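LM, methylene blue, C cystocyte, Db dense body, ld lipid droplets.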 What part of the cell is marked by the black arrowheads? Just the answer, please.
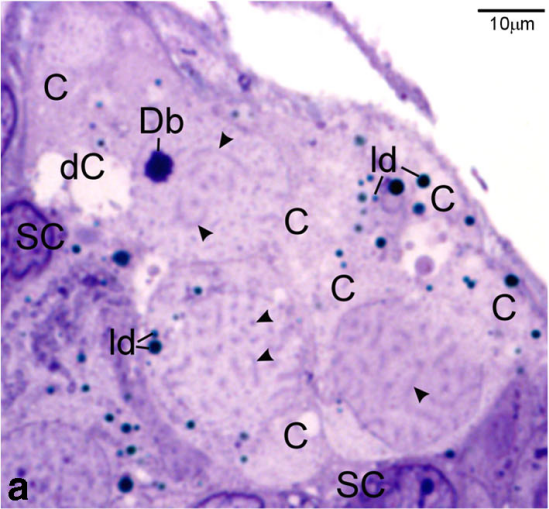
Bivalents.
